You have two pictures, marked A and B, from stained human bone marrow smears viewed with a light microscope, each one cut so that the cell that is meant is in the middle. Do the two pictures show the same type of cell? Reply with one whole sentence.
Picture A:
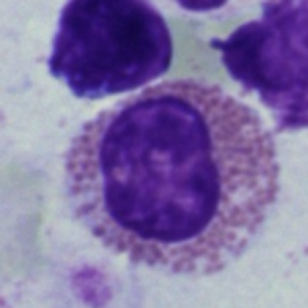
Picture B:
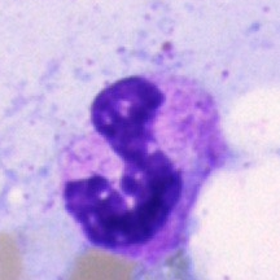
No, picture A shows an eosinophil and picture B shows a segmented neutrophil.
